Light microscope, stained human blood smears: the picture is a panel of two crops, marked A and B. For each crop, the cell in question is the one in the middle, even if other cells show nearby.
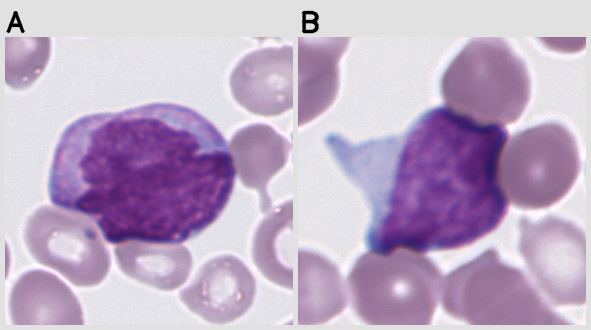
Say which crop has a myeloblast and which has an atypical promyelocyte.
A: atypical promyelocyte
B: myeloblast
